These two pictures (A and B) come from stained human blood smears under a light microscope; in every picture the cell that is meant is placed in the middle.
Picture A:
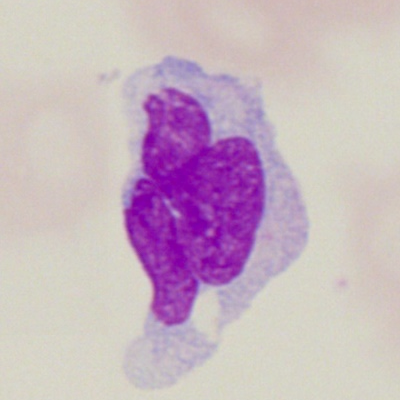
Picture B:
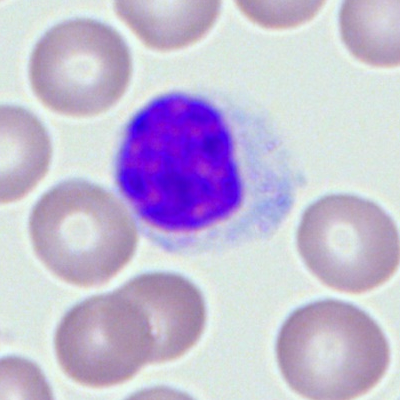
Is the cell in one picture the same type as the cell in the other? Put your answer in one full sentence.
No, the types are not the same, since picture A shows a monocyte and picture B a lymphocyte.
